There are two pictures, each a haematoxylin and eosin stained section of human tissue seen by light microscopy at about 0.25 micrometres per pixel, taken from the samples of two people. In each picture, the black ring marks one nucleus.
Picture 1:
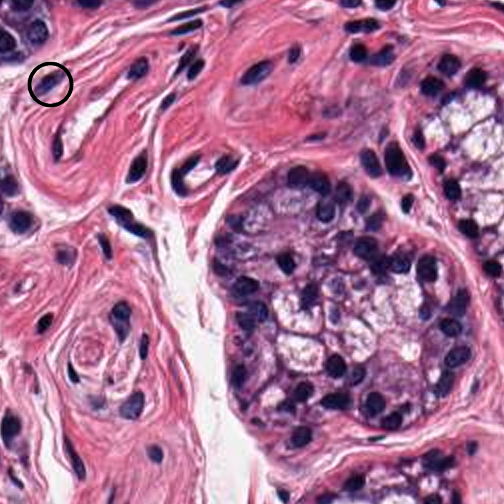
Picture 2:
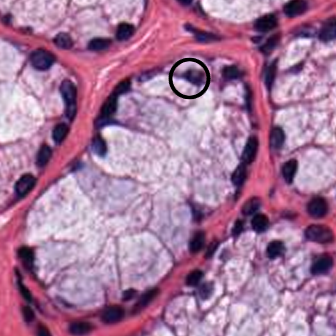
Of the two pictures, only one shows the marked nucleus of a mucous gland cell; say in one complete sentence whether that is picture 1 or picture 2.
The marked nucleus in picture 2 is the nucleus of a mucous gland cell.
